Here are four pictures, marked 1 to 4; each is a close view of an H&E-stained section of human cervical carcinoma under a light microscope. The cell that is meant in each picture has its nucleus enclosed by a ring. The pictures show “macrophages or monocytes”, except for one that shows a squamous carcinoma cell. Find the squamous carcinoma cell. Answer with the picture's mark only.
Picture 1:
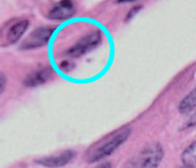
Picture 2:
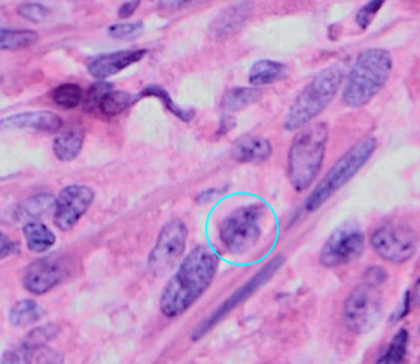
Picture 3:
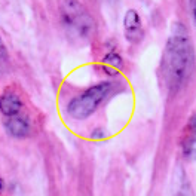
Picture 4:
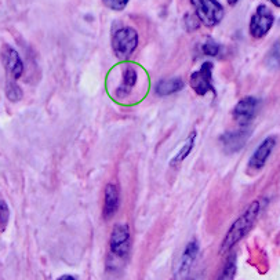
1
